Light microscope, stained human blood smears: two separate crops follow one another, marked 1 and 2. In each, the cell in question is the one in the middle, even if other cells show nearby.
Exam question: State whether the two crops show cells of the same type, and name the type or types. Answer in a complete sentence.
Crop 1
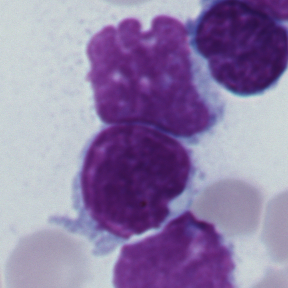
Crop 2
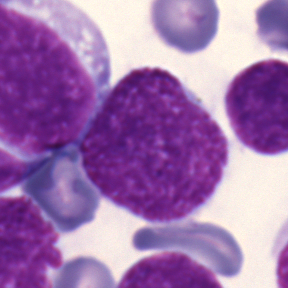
Yes, the cells of interest in both crops are myeloblasts.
